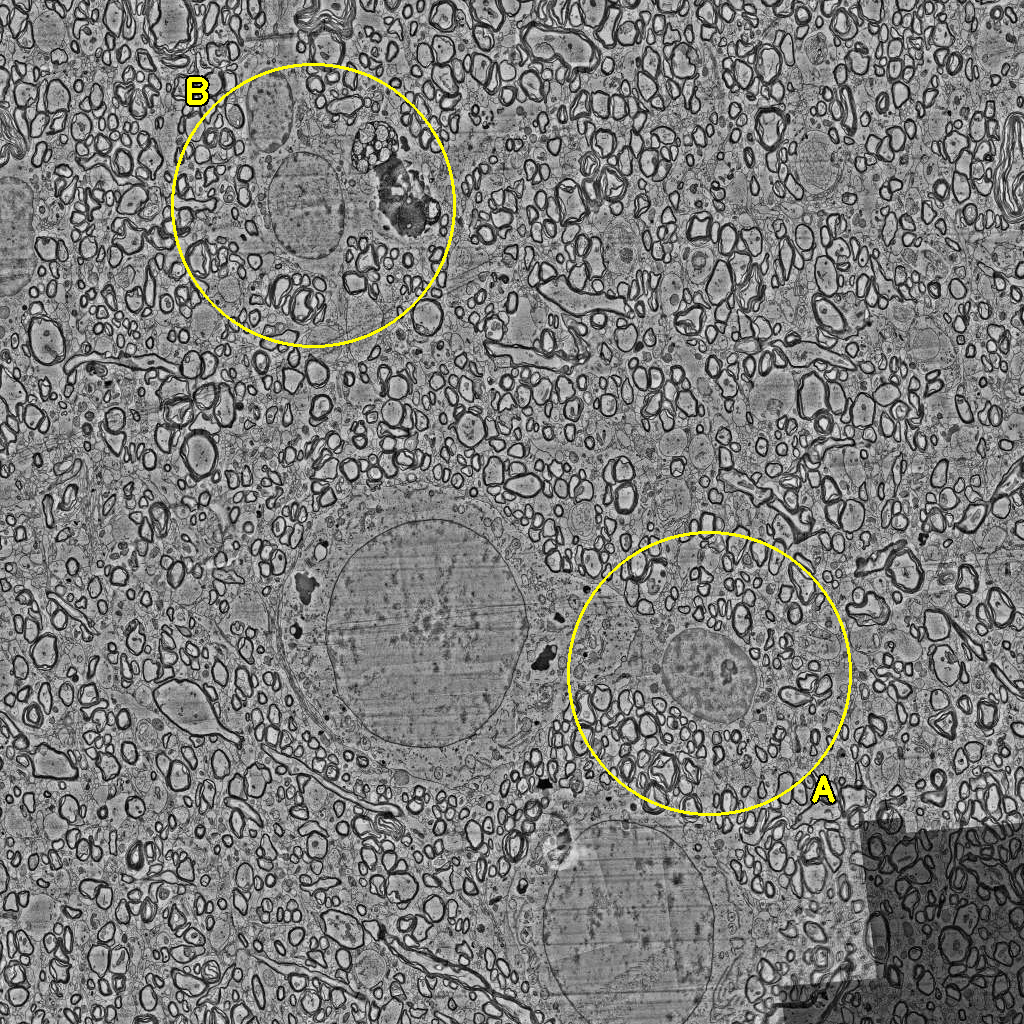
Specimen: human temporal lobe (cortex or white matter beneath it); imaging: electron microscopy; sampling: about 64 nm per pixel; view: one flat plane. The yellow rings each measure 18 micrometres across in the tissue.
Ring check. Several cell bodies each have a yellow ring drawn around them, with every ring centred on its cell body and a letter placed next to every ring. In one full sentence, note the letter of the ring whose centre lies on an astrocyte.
At the centre of ring B lies the cell asked for in this check.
